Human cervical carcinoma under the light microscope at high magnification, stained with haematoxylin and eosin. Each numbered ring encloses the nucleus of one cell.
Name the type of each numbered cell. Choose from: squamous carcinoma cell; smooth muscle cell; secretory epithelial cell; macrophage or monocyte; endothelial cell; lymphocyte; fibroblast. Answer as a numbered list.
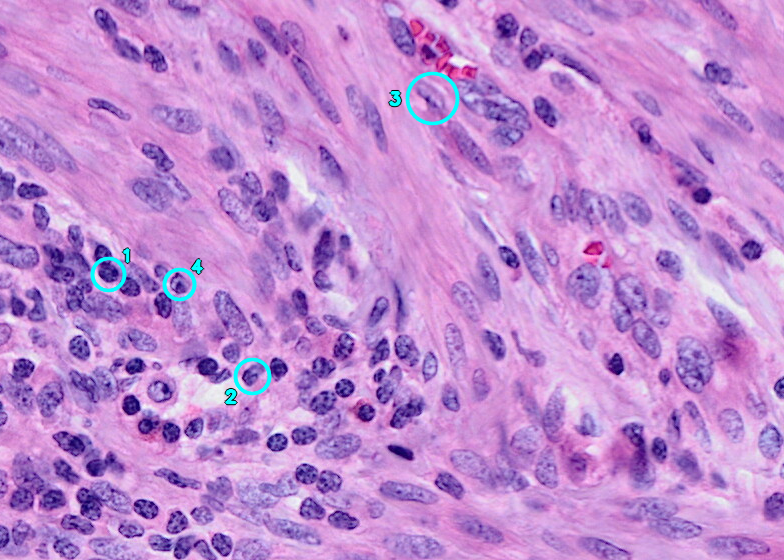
1. lymphocyte
2. lymphocyte
3. endothelial cell
4. lymphocyte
